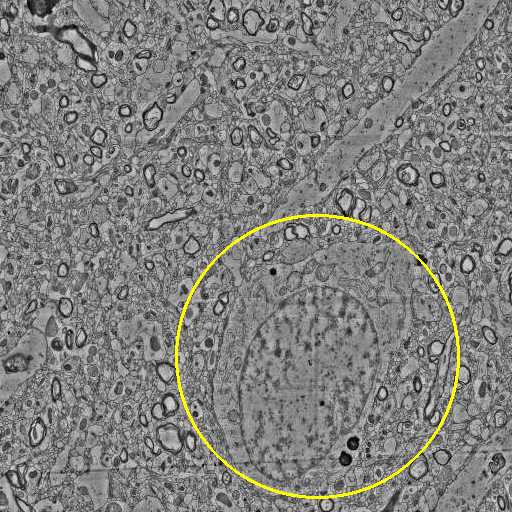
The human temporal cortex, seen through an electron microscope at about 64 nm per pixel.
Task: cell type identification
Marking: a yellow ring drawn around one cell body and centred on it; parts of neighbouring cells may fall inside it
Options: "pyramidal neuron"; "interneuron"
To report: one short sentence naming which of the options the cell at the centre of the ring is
The cell at the centre of the ring is an interneuron.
